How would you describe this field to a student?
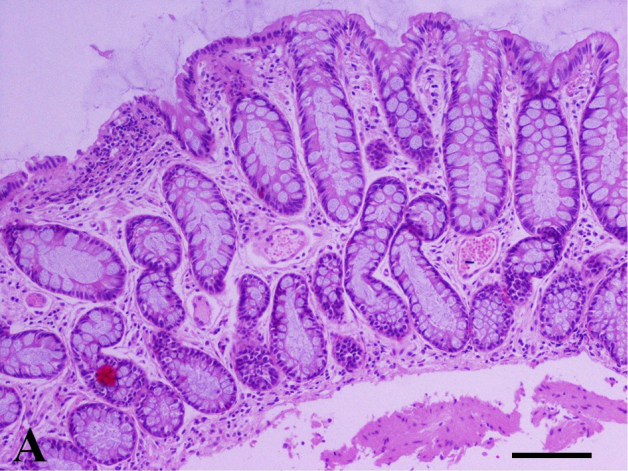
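Colonic mucosa with elongated and cross-cut crypts whose lining is packed with pale goblet cells around purple basal nuclei, the crypts mildly dilated and distorted. Pink fibrous stroma with scattered lymphocytes and plasma cells lies between crypts, and at the upper left the surface epithelium is degenerate or lost.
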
